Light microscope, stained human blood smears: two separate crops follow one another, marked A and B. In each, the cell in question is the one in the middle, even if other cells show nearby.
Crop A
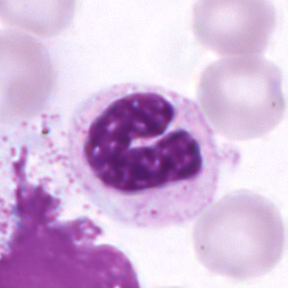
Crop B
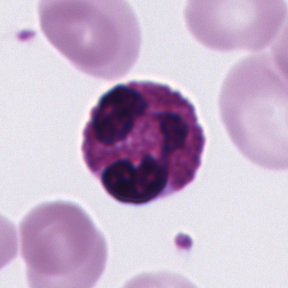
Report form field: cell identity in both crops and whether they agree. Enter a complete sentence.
No, the cell that crop A shows is a band neutrophil, and the one crop B shows is an eosinophil.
